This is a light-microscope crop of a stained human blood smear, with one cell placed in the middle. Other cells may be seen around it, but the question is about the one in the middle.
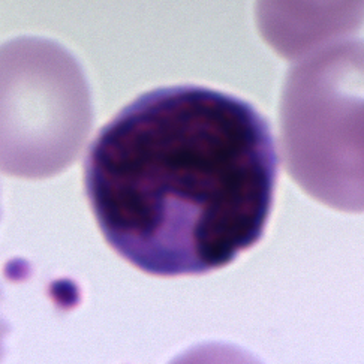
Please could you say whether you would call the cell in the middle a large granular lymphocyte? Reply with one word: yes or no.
no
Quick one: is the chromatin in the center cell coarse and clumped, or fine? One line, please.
In this nucleus, the chromatin is arranged in coarse clumps.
